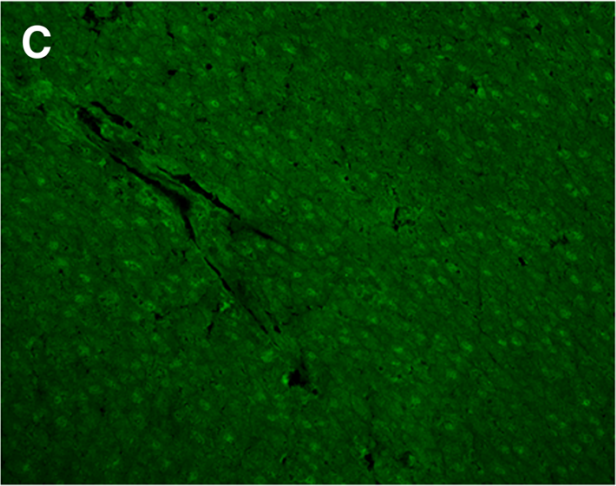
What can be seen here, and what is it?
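A liver section of densely packed hepatocytes with faint green background throughout. Small round nuclei stand out slightly brighter green, evenly spaced across the field. A narrow dark cleft, likely a vessel, runs diagonally through the tissue.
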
